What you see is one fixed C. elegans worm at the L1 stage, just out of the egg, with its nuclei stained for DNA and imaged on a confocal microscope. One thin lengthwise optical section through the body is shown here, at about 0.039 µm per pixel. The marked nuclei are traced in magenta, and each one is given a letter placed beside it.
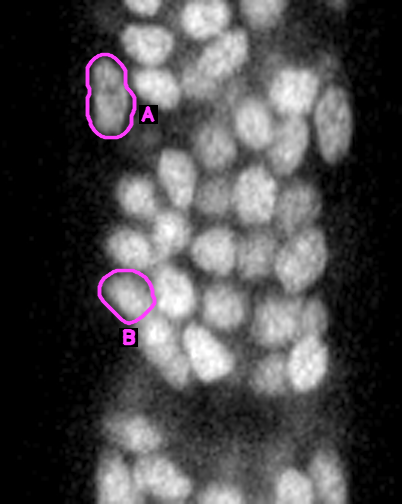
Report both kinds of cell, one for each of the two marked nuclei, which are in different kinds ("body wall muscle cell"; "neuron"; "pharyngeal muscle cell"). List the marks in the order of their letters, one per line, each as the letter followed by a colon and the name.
A: body wall muscle cell
B: neuron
